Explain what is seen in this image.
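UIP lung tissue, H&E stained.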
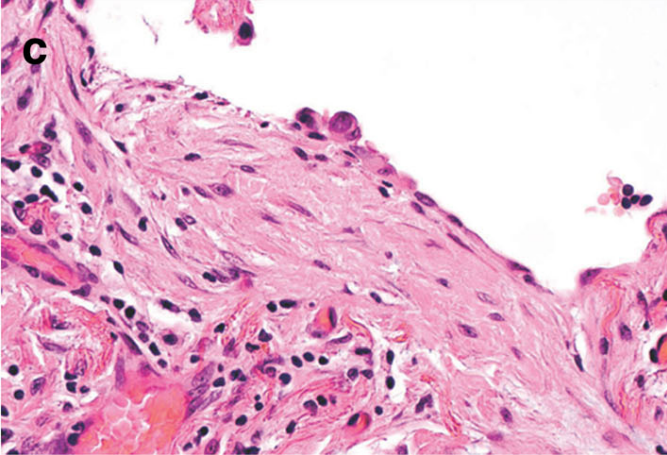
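This is a fibroblastic focus: spindle-shaped cells with elongated nuclei lie in a pale pink, fibrillar stroma, running roughly parallel to the free surface above. The surface is lined by flattened to rounded cells, some bulging into the empty space. At the lower left, the tissue holds many small round dark nuclei and red-staining areas, unlike the paler, more orderly spindle-cell zone.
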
